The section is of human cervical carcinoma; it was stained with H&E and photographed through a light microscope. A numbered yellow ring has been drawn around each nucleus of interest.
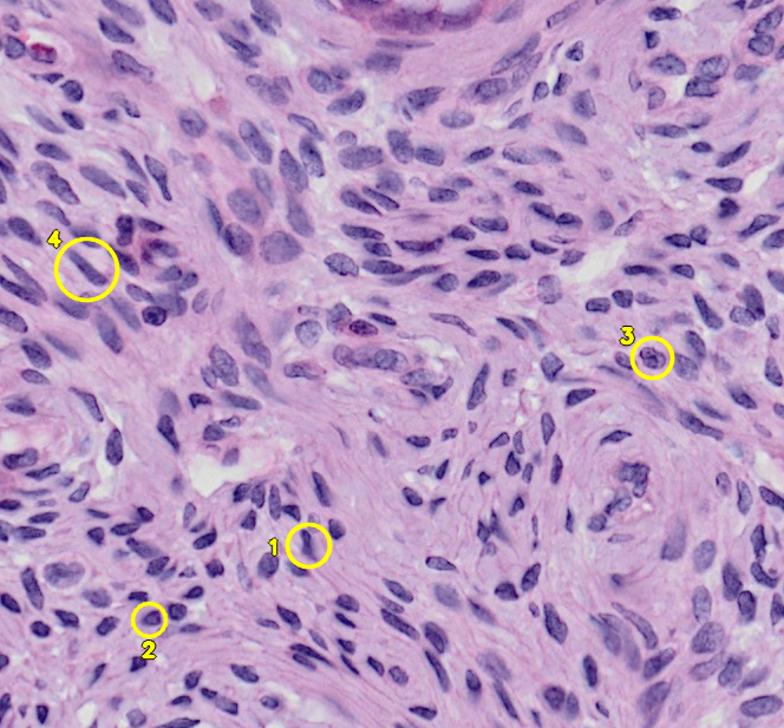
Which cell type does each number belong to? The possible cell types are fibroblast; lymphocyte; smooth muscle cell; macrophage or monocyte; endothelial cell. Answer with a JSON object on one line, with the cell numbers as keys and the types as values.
{"1": "fibroblast", "2": "fibroblast", "3": "lymphocyte", "4": "fibroblast"}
